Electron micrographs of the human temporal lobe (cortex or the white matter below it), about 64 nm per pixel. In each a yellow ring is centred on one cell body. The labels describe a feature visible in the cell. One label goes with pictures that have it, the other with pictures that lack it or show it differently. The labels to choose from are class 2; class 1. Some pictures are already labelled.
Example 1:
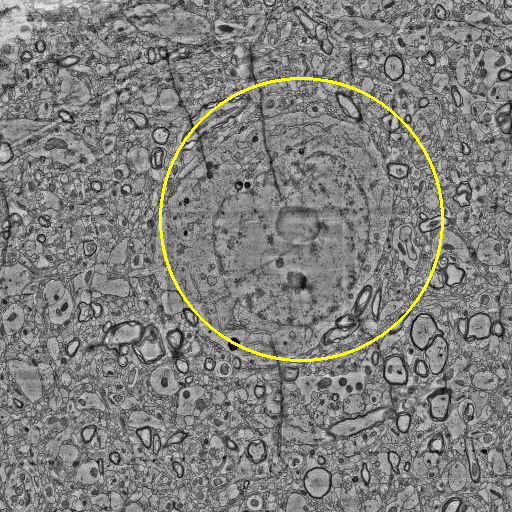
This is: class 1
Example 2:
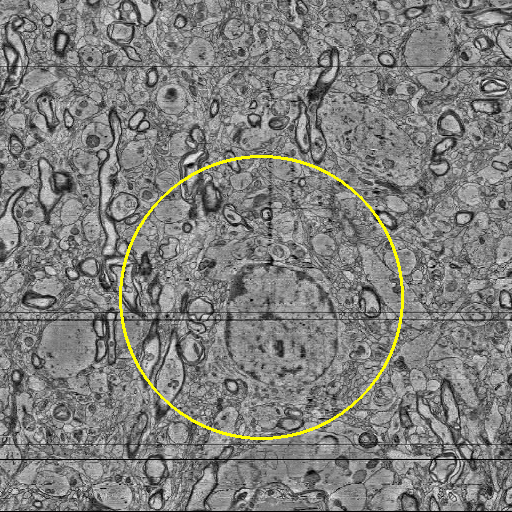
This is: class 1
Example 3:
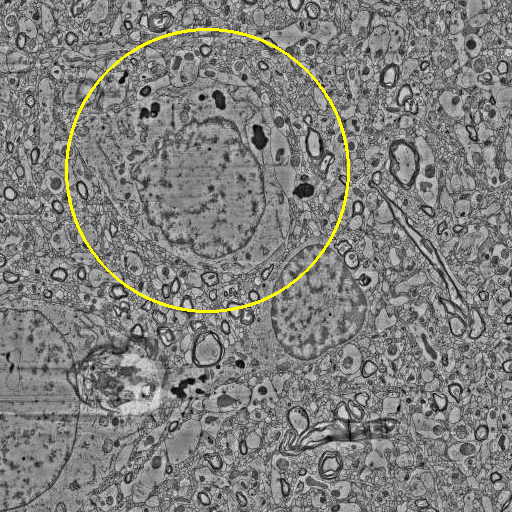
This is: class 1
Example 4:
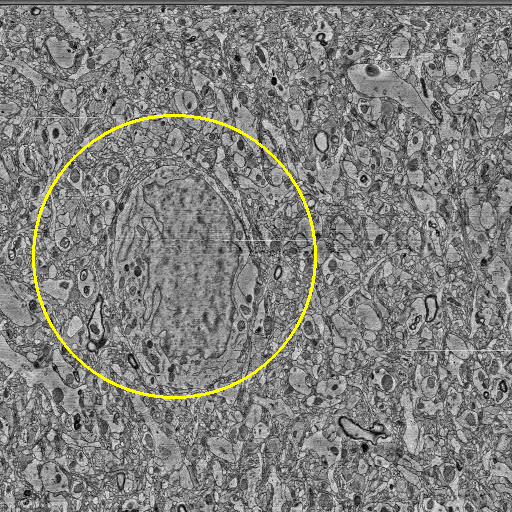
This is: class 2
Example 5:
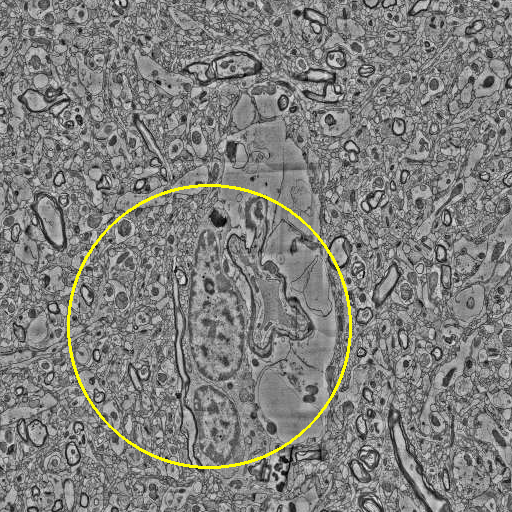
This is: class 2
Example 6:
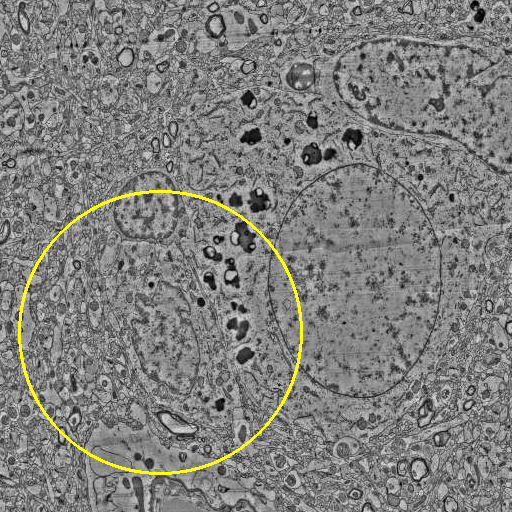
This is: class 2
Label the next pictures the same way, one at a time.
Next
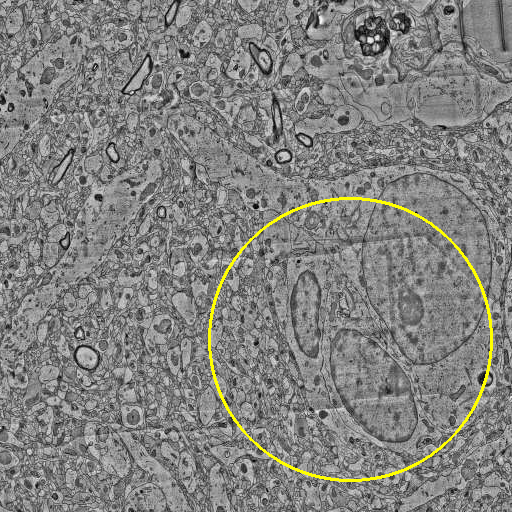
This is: class 2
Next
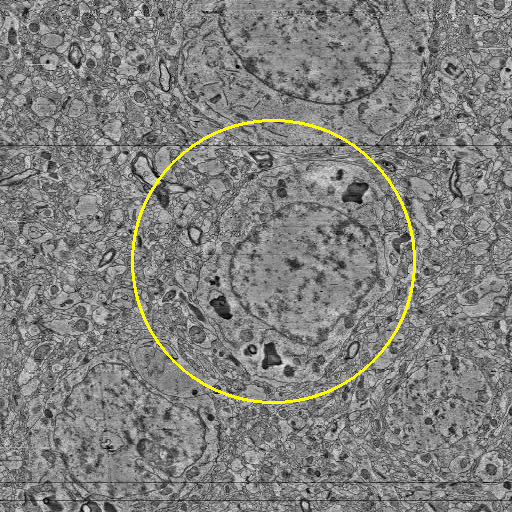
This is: class 1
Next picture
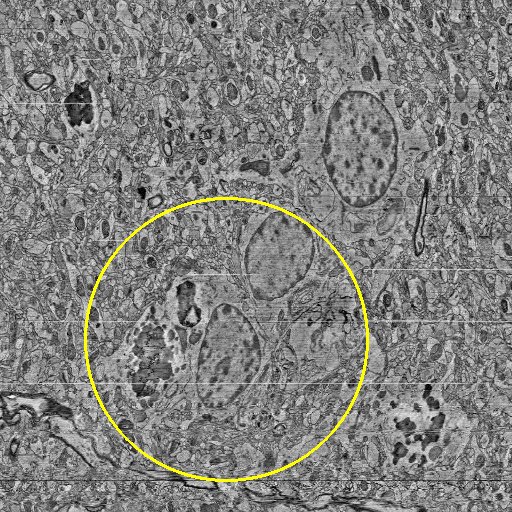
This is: class 2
